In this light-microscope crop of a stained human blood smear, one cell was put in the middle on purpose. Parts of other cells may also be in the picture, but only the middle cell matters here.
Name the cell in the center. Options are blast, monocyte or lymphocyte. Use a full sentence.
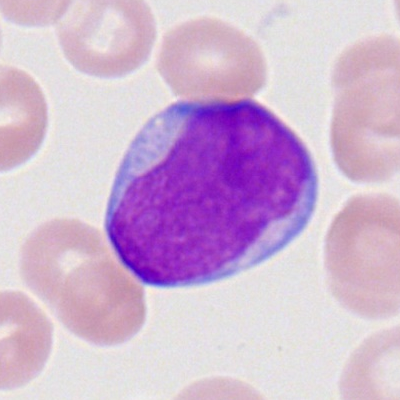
In this smear crop, the middle cell is a blast.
